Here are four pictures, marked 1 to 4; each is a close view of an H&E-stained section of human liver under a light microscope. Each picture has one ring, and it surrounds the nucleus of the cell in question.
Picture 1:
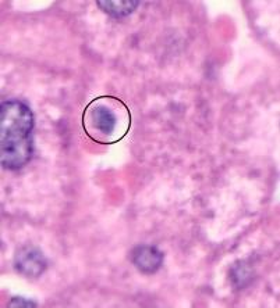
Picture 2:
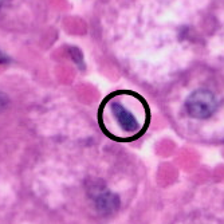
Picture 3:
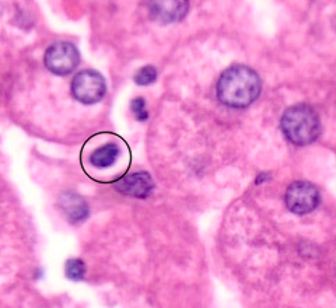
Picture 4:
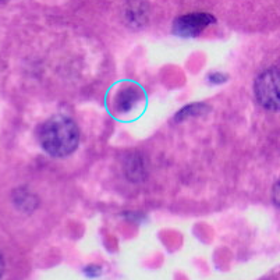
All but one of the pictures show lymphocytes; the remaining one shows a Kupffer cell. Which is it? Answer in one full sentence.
The picture with the Kupffer cell is 4.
